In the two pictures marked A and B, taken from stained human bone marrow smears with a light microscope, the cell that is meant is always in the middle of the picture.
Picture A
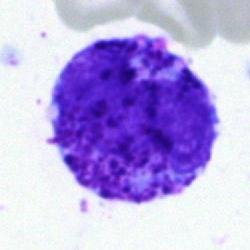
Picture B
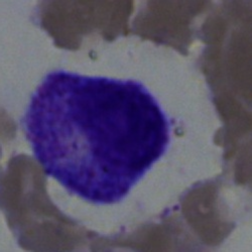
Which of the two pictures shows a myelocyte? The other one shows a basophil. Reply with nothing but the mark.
B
